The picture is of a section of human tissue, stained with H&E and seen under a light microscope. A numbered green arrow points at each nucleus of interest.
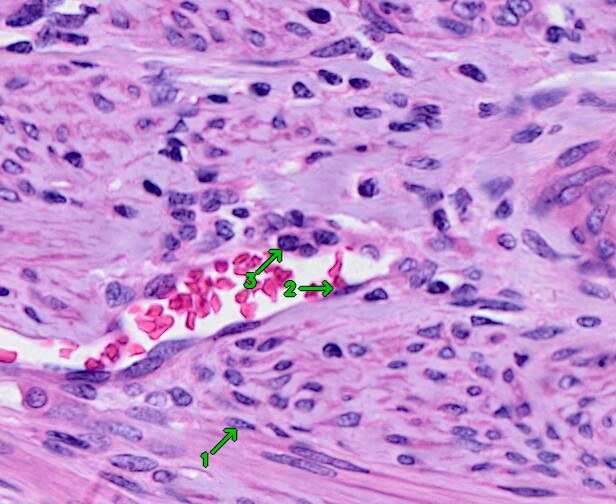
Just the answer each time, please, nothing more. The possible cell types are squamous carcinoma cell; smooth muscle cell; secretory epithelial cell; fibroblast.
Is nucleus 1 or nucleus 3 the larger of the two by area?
3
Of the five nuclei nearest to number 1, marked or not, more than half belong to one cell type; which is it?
smooth muscle cell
